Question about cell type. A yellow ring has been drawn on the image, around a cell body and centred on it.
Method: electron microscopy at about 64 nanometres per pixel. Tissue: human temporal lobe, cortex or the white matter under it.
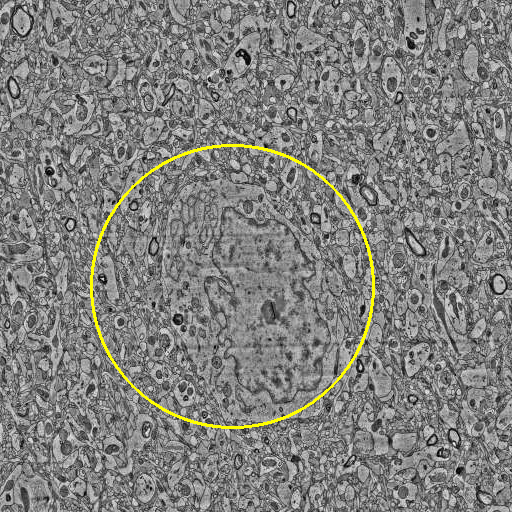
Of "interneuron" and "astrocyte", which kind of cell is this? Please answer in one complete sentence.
At the centre of the ring lies an interneuron.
